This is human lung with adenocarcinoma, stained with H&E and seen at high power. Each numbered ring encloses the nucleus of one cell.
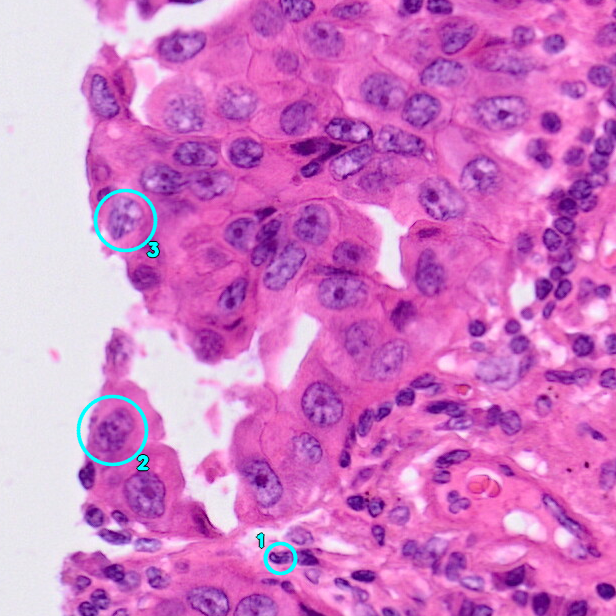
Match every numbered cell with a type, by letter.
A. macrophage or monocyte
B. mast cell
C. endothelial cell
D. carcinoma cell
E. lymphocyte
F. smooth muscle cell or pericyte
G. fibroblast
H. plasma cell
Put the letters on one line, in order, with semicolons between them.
E; D; D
